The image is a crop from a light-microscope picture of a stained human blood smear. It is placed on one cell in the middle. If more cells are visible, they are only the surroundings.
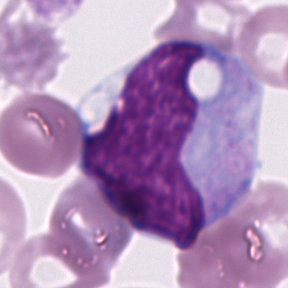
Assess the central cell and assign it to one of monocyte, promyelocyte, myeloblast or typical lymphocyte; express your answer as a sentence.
Here the cell in the middle is a monocyte.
